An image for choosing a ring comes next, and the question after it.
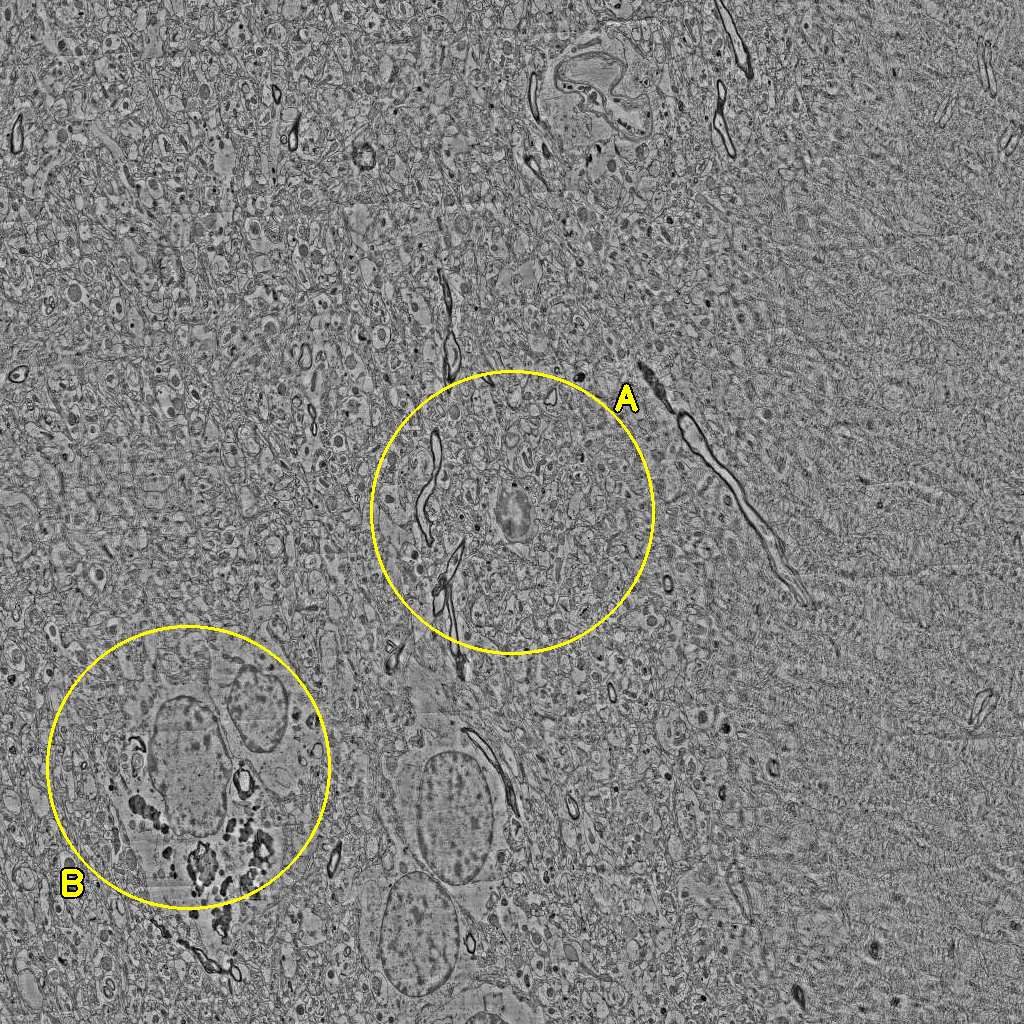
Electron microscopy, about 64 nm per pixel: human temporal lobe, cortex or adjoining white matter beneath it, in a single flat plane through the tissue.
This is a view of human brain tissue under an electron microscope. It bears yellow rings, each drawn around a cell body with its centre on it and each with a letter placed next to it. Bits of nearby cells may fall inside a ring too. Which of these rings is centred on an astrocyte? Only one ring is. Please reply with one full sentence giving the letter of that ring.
Of all the lettered rings, B is the one centred on a cell of that kind.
